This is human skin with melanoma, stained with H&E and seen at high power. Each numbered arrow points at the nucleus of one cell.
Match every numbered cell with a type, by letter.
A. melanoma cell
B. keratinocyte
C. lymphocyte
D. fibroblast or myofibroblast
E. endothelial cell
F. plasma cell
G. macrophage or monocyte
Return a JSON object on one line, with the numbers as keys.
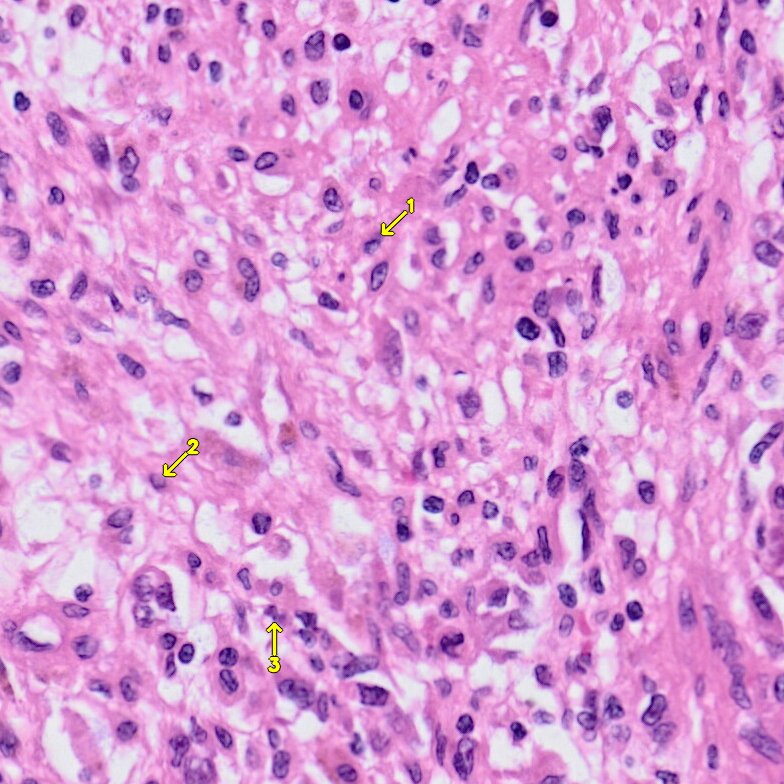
{"1": "G", "2": "G", "3": "D"}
